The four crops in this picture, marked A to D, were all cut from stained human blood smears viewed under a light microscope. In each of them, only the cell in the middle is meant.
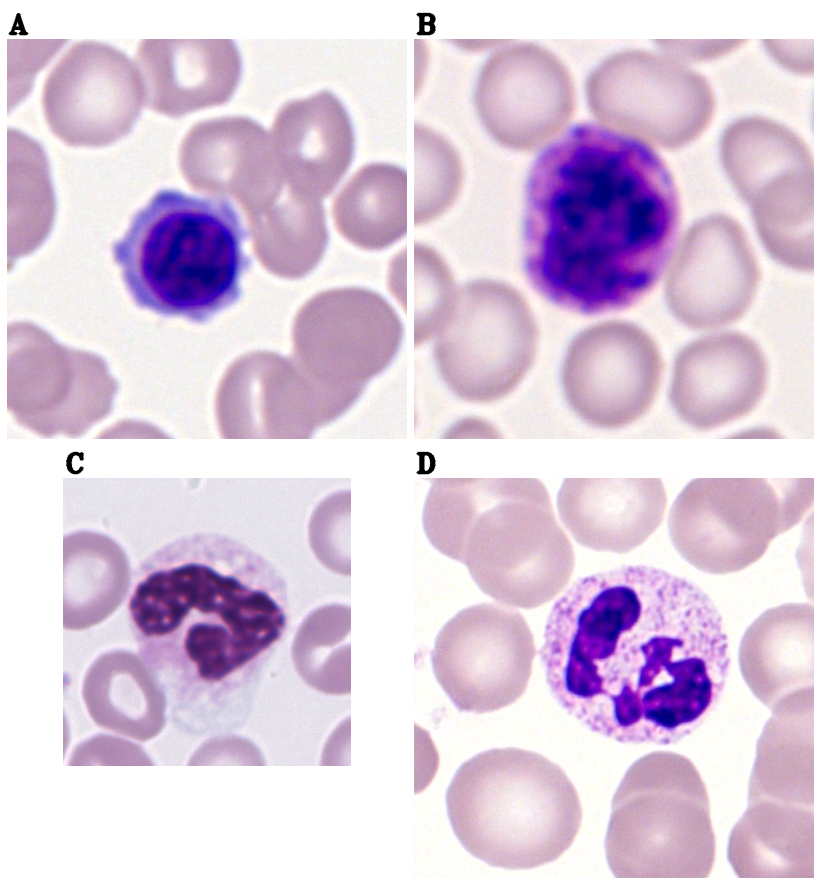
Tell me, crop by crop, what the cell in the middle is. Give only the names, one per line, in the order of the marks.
erythroblast
basophil
segmented neutrophil
segmented neutrophil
